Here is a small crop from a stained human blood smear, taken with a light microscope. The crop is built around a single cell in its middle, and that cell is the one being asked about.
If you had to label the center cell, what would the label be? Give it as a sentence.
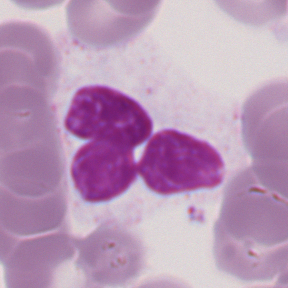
At the center of the crop sits a segmented neutrophil.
